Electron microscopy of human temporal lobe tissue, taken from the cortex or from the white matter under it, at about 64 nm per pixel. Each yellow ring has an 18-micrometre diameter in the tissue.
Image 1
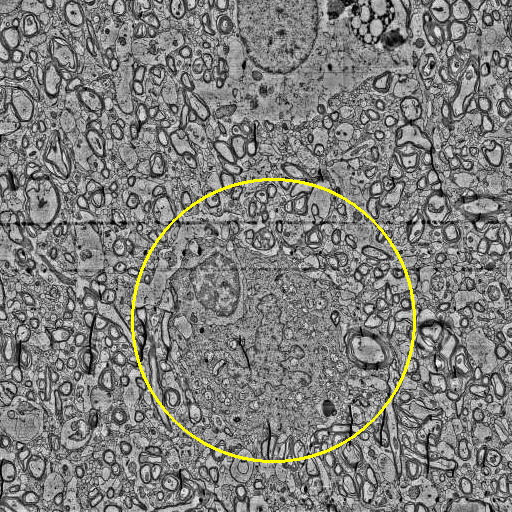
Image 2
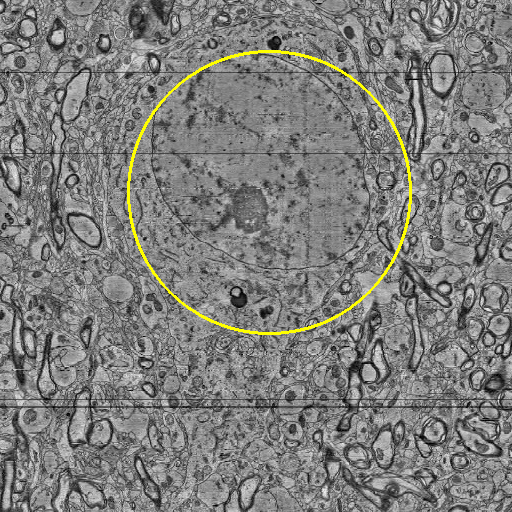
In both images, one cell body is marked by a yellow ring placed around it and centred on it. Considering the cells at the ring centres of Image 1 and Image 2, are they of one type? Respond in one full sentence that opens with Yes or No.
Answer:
Yes, a single type applies to the ring-centred cells of both Image 1 and Image 2.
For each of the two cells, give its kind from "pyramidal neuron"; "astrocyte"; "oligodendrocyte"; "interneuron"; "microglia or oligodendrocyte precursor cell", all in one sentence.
Both pictures show a pyramidal neuron at the centre of the ring.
